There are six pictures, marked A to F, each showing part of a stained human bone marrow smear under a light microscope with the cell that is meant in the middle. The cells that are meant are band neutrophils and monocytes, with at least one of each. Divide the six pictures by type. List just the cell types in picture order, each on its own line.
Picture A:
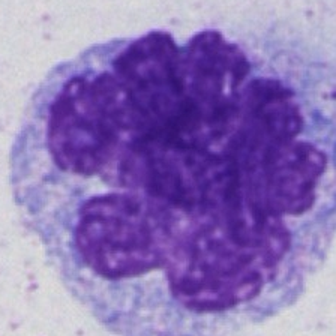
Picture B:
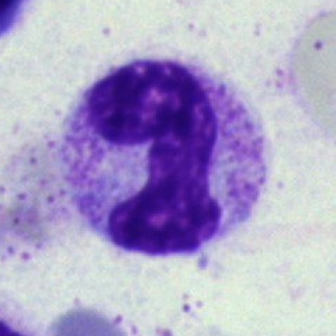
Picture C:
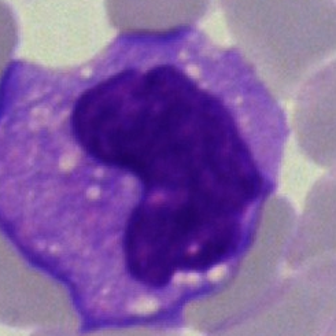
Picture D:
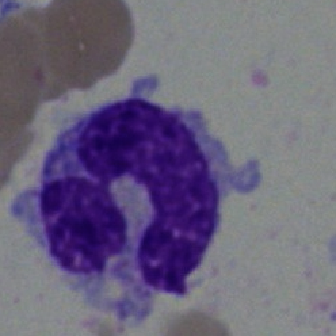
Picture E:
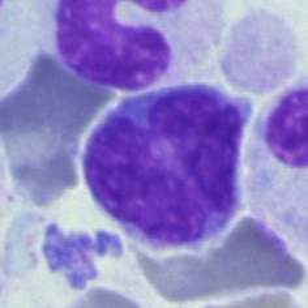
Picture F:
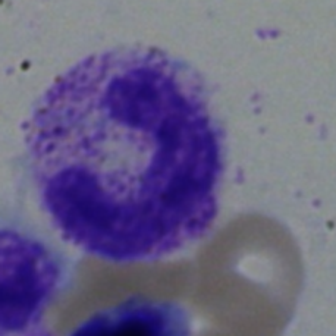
monocyte
band neutrophil
monocyte
monocyte
monocyte
band neutrophil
